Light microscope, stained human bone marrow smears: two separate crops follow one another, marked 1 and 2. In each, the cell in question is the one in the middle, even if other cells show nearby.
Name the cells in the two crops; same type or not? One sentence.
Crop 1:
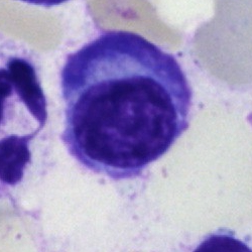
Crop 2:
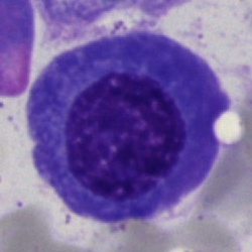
Yes, plasma cells are the cells in the middle of both crops.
